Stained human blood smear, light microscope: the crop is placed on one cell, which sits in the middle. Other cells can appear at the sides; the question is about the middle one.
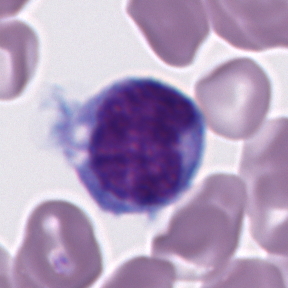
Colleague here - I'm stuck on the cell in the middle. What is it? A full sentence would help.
The cell under consideration, at the middle of the crop, is a monocyte.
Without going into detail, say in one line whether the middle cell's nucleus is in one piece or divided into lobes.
What stands out is a nucleus forming one compact round, oval or kidney-shaped mass.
